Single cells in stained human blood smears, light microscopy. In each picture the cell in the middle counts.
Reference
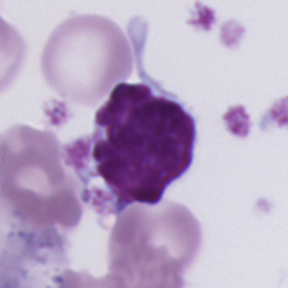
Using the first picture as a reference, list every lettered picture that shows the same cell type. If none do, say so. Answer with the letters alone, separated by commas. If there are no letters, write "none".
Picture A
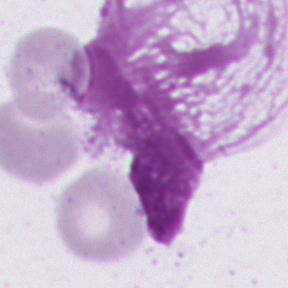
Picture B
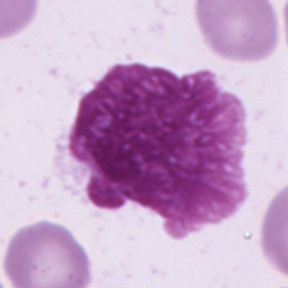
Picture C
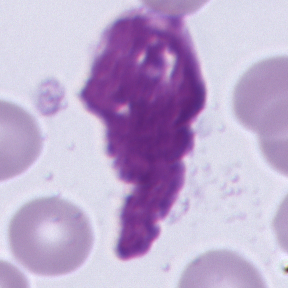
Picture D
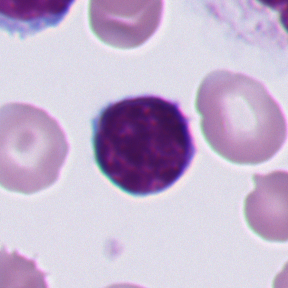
D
